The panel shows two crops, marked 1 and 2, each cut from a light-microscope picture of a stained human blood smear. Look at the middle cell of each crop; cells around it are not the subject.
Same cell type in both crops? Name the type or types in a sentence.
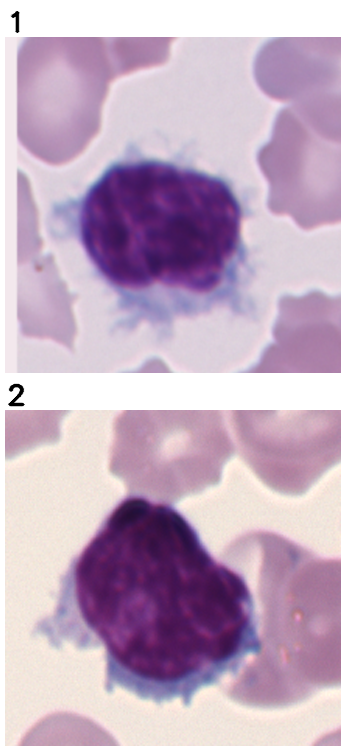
No, it is crop 1 that shows a hairy cell, and crop 2 that shows a typical lymphocyte.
